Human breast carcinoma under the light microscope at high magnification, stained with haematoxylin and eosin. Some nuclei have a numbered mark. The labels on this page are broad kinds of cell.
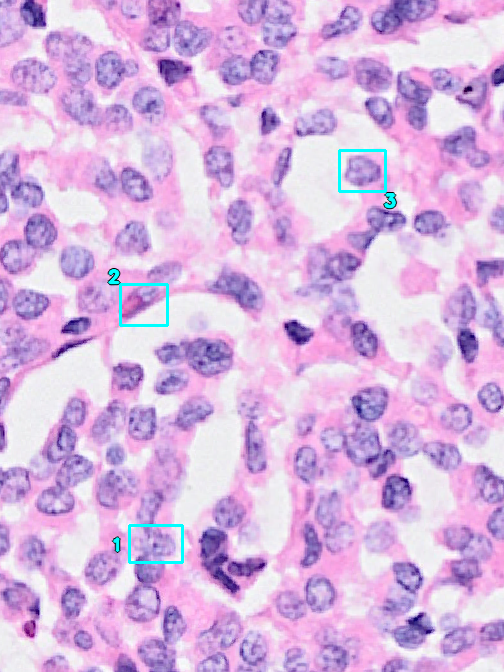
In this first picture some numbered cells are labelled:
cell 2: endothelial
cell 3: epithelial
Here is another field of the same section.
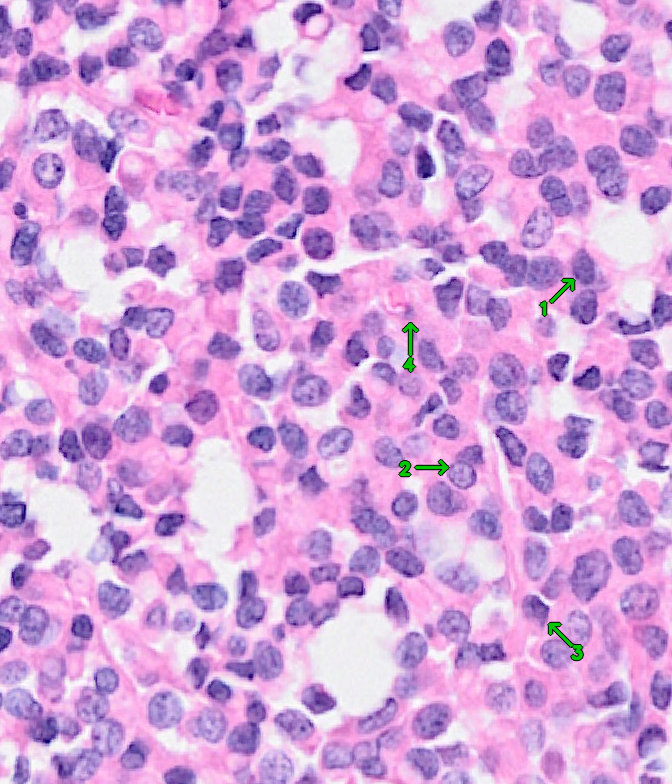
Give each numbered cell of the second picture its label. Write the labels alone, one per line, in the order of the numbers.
epithelial
epithelial
epithelial
endothelial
